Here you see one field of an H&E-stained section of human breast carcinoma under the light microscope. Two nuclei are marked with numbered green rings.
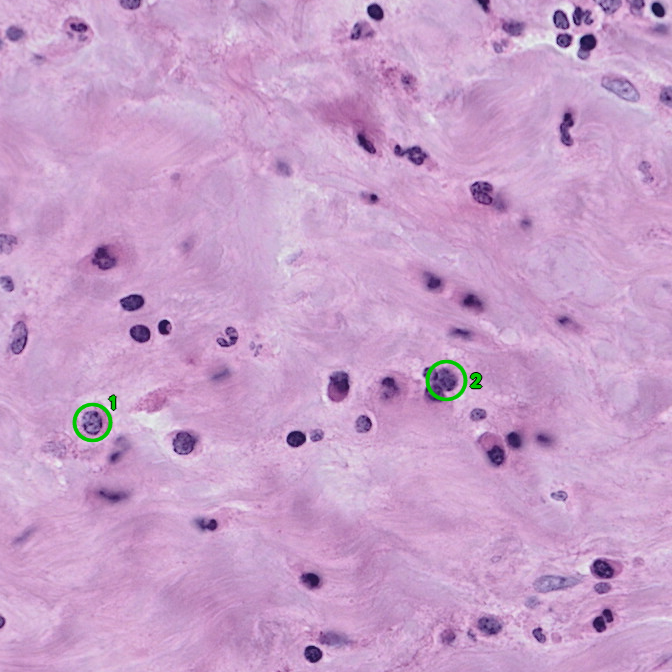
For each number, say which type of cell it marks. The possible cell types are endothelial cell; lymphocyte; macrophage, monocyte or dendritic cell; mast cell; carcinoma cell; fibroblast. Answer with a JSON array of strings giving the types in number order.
["mast cell", "lymphocyte"]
